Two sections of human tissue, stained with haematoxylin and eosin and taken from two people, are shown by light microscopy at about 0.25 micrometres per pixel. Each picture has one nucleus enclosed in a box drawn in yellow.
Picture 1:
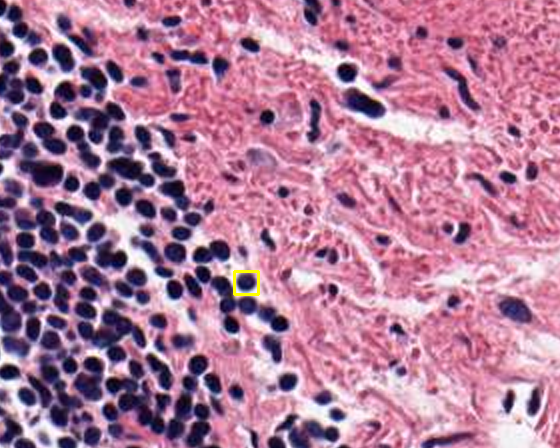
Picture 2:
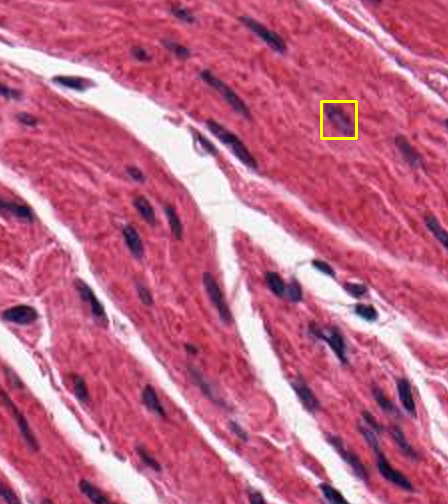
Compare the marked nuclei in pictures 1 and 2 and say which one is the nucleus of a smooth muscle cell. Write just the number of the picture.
2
